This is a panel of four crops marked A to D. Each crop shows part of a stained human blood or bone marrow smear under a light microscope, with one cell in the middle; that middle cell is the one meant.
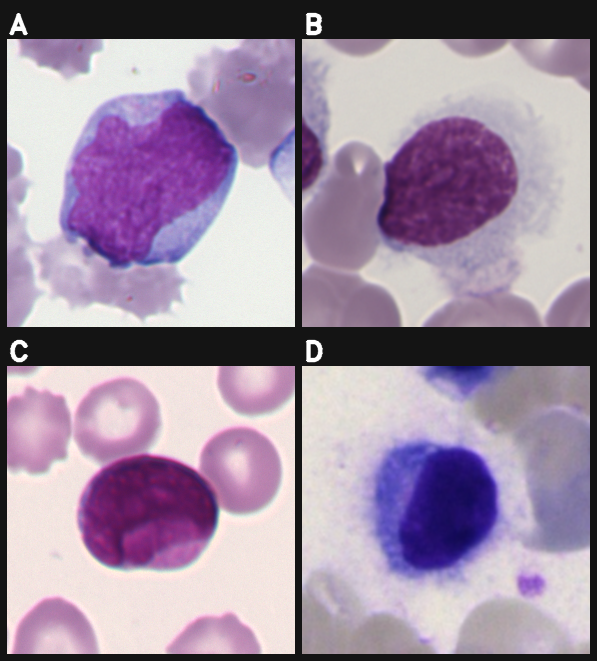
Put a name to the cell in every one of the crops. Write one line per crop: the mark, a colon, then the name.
A: blast
B: hairy cell
C: blast
D: hairy cell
